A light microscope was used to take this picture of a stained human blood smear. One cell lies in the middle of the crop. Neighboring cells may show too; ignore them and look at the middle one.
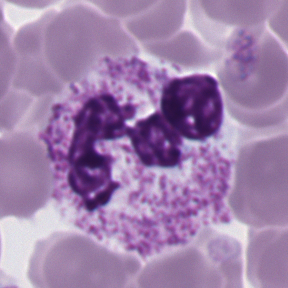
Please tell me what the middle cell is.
neutrophil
